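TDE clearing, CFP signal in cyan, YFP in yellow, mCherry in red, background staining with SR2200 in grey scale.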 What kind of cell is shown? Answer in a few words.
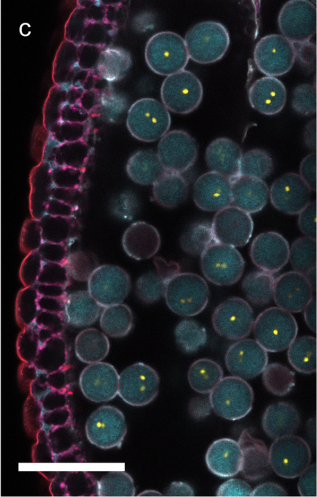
Pollen.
